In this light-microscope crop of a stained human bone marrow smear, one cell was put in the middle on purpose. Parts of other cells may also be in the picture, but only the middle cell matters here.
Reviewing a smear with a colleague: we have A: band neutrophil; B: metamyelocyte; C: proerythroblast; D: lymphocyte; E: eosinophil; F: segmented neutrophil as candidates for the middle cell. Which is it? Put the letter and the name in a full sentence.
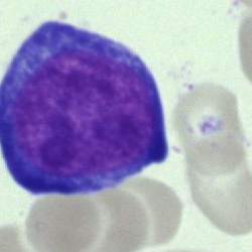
Option C is correct; the cell in the middle is a proerythroblast.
